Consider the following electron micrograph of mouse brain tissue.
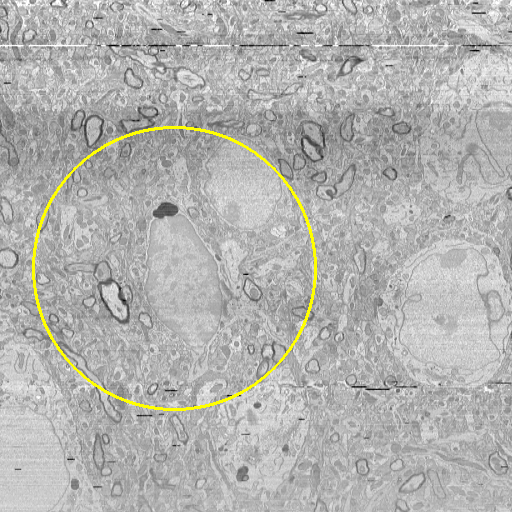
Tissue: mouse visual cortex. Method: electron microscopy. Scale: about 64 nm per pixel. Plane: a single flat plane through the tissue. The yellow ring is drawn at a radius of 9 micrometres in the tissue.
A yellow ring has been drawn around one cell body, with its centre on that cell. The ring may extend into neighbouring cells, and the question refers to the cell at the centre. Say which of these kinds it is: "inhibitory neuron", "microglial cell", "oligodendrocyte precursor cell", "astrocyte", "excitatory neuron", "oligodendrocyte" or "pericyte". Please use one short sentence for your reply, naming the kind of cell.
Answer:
The centre of the ring falls on a microglial cell.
